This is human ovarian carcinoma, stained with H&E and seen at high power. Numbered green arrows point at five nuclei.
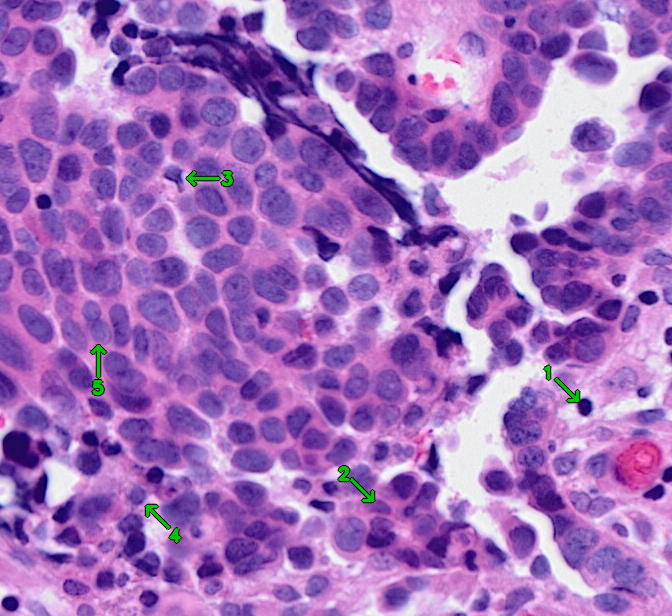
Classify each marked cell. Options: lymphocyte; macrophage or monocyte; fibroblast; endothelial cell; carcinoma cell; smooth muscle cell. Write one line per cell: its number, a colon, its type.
1: lymphocyte
2: carcinoma cell
3: macrophage or monocyte
4: macrophage or monocyte
5: carcinoma cell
